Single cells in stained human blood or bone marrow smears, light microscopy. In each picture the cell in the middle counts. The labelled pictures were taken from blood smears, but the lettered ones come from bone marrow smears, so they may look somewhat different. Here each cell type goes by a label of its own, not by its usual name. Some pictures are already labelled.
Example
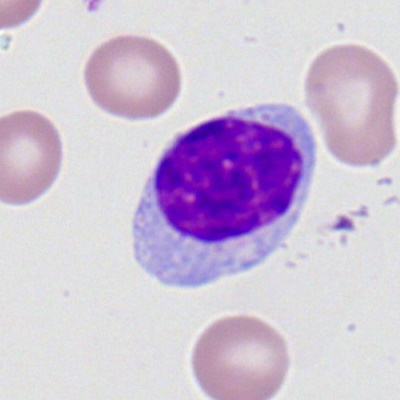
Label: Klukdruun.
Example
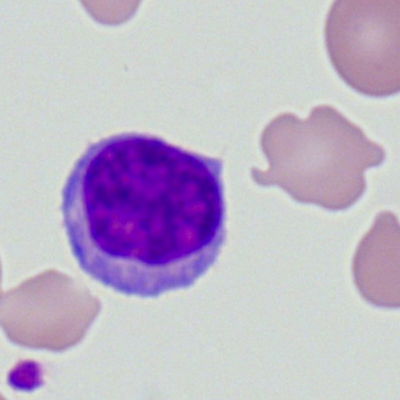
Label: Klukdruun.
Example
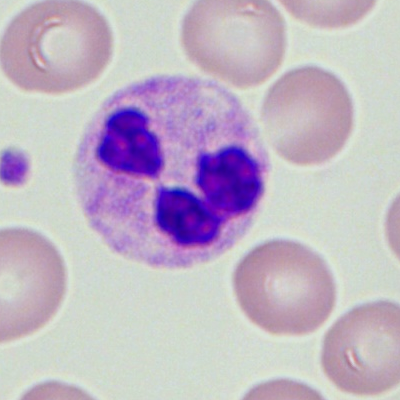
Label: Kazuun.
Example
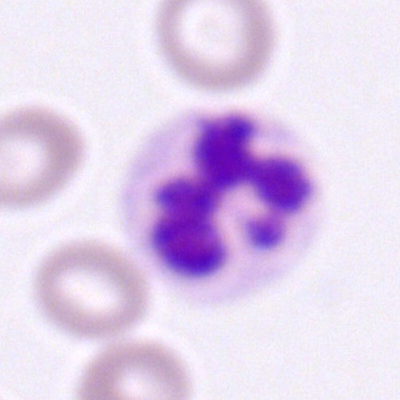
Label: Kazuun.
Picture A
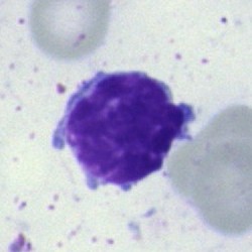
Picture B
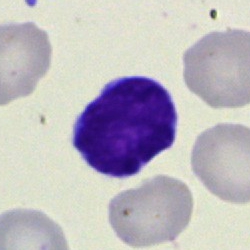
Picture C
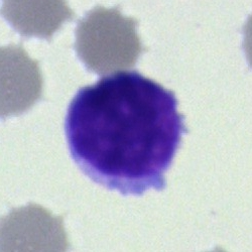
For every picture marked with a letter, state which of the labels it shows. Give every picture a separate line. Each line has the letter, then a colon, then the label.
A: Klukdruun.
B: Klukdruun.
C: Klukdruun.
